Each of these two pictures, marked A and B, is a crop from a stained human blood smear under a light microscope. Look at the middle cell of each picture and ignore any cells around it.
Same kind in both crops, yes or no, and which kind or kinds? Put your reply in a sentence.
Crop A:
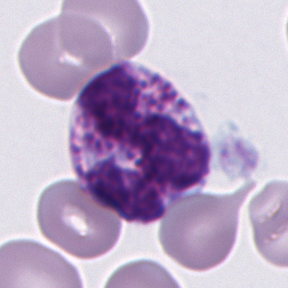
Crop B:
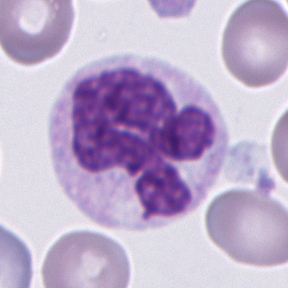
No, crop A contains a basophil, while crop B contains a neutrophil.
